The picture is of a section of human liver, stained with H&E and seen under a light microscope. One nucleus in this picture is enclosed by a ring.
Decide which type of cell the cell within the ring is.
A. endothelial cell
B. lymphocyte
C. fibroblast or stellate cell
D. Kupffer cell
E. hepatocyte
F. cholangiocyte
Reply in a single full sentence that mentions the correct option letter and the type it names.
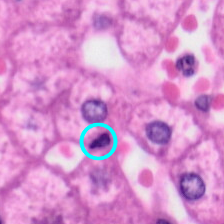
Among the choices, option C is correct, the cell within the ring being a fibroblast or stellate cell.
